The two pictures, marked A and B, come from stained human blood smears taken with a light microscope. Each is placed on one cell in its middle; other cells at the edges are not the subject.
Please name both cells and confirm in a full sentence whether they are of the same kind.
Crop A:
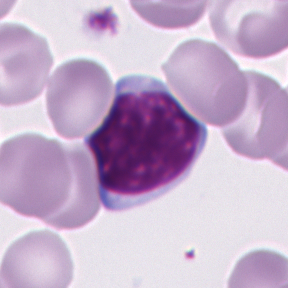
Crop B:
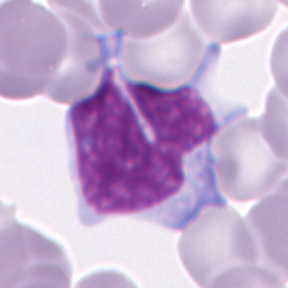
Yes, both crops show typical lymphocytes, each crop centred on one of them.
